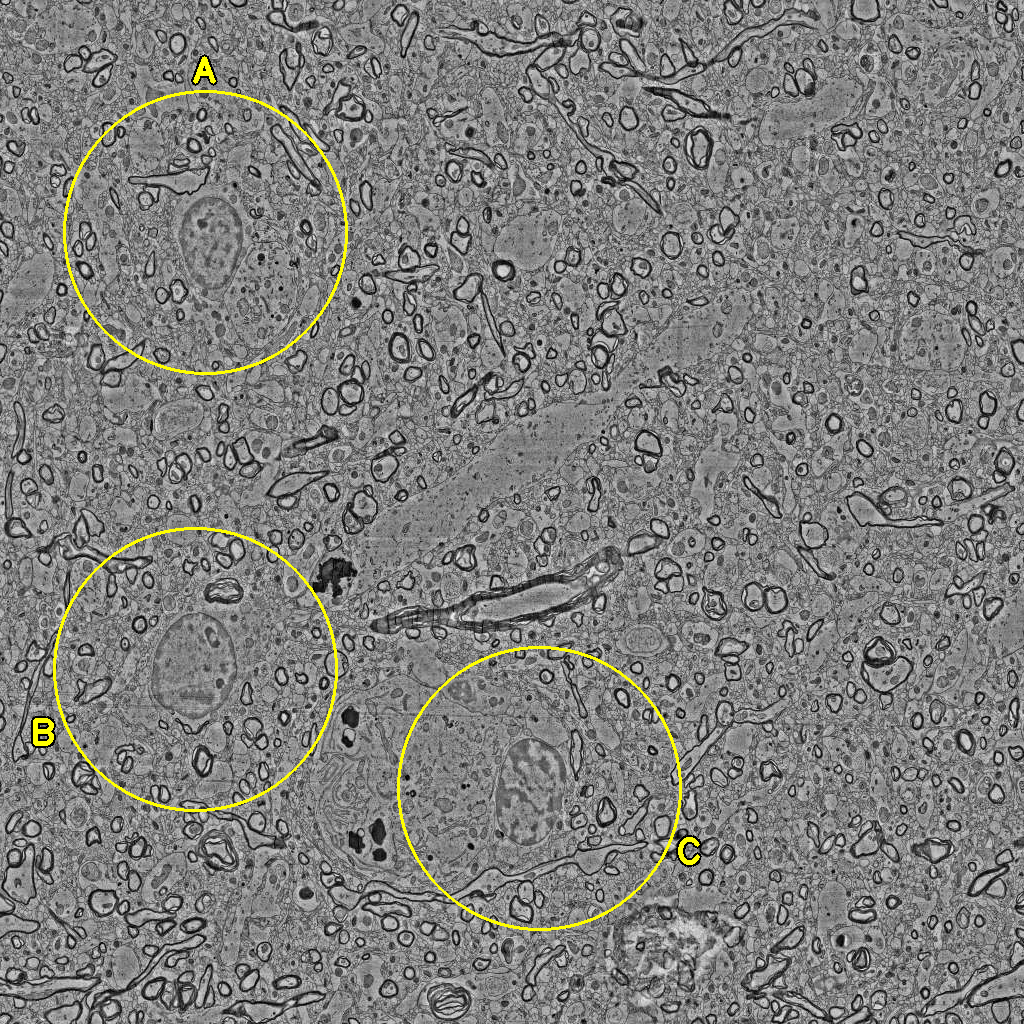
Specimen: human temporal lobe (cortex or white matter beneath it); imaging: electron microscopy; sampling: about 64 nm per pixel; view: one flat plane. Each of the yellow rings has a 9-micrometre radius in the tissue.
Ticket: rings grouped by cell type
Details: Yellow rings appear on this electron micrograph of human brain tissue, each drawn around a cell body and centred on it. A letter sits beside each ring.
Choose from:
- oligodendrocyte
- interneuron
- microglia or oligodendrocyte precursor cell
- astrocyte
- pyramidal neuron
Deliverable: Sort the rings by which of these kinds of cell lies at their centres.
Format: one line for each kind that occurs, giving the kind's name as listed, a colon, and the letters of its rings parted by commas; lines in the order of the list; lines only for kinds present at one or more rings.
oligodendrocyte: A, B
microglia or oligodendrocyte precursor cell: C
